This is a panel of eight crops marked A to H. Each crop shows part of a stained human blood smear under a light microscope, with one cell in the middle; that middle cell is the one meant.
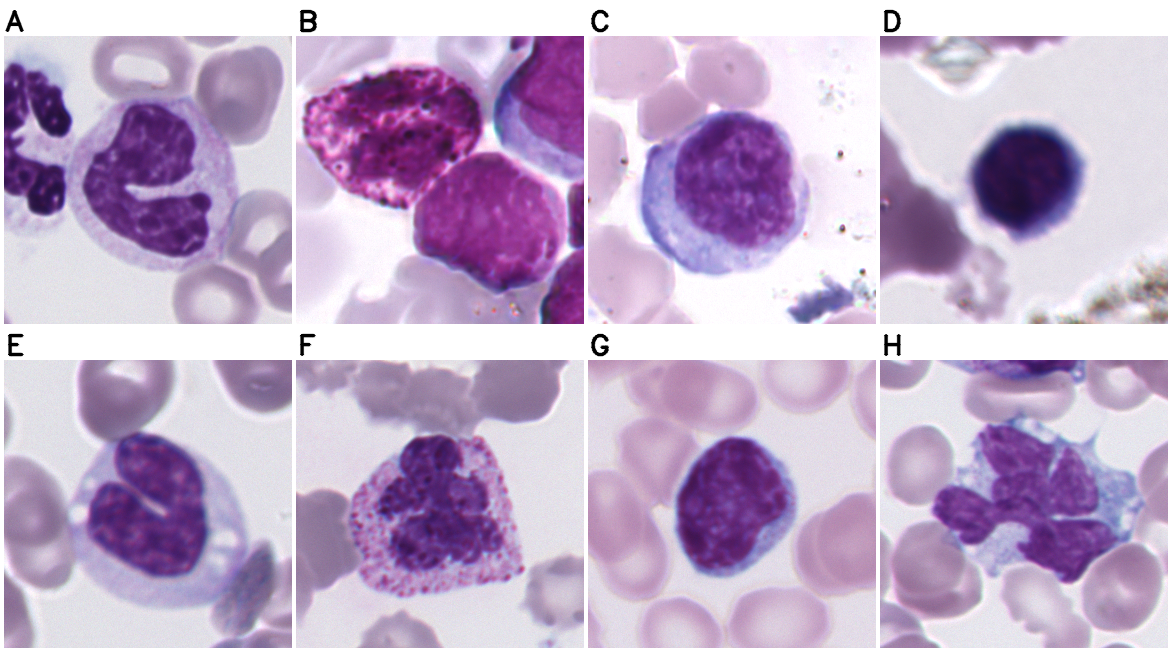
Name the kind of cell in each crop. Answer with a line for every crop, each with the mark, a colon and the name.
A: band neutrophil
B: basophil
C: plasma cell
D: hairy cell
E: band neutrophil
F: basophil
G: typical lymphocyte
H: monocyte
